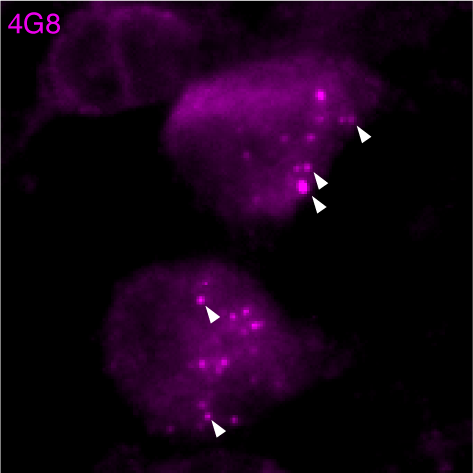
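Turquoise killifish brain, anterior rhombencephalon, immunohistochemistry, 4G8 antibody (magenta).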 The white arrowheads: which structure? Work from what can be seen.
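Puncta. Small bright round magenta dots lie within two cell bodies. The arrowheads point at these dots near the cell edges. The dots stand out against a fainter diffuse magenta cytoplasm.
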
